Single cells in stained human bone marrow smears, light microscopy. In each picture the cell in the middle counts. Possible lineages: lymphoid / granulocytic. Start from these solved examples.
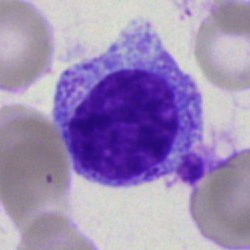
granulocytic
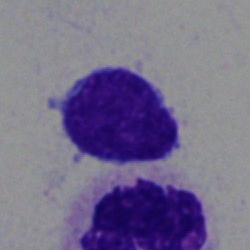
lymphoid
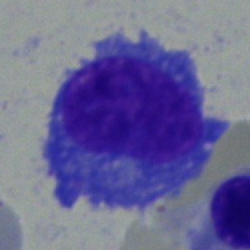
lymphoid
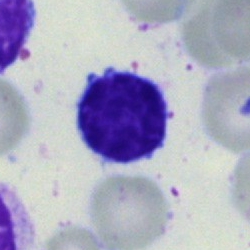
lymphoid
